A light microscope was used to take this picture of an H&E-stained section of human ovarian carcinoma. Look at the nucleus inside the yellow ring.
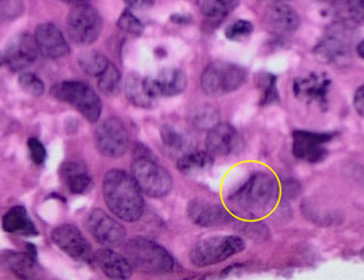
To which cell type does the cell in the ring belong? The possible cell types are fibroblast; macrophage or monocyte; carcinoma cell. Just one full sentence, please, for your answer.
In cellular terms, the cell in the ring is a carcinoma cell.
